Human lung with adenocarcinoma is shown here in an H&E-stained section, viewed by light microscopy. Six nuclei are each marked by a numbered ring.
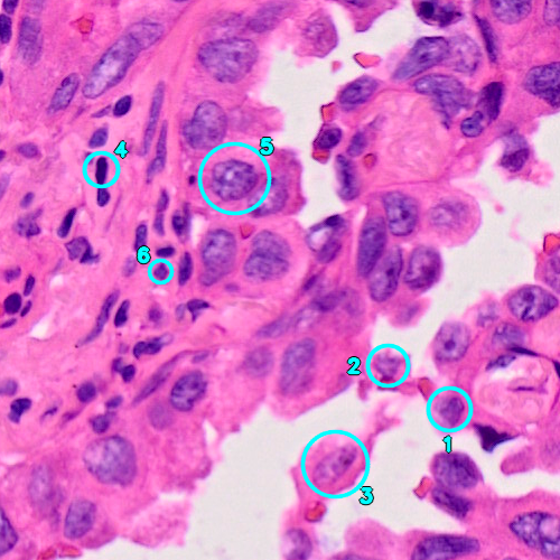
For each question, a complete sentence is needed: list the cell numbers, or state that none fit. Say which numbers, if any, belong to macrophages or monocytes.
The numbers 2 and 3 in this section indicate macrophages or monocytes.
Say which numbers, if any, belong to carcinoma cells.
The cells numbered 1 and 5 are, by type, carcinoma cells.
